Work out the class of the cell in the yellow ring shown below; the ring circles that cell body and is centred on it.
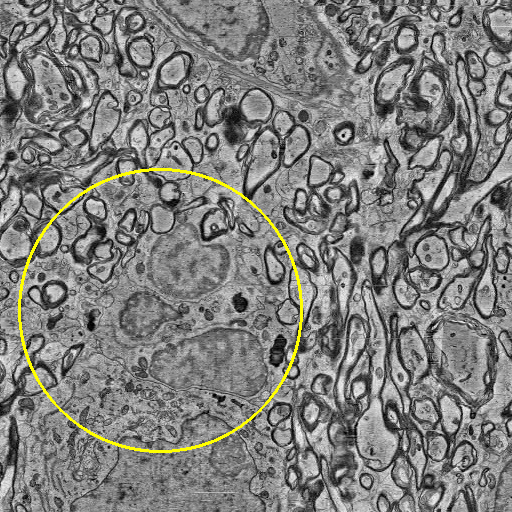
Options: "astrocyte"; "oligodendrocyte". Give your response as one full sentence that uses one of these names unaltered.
The body ringed in yellow, right at the ring's centre, is that of an oligodendrocyte.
